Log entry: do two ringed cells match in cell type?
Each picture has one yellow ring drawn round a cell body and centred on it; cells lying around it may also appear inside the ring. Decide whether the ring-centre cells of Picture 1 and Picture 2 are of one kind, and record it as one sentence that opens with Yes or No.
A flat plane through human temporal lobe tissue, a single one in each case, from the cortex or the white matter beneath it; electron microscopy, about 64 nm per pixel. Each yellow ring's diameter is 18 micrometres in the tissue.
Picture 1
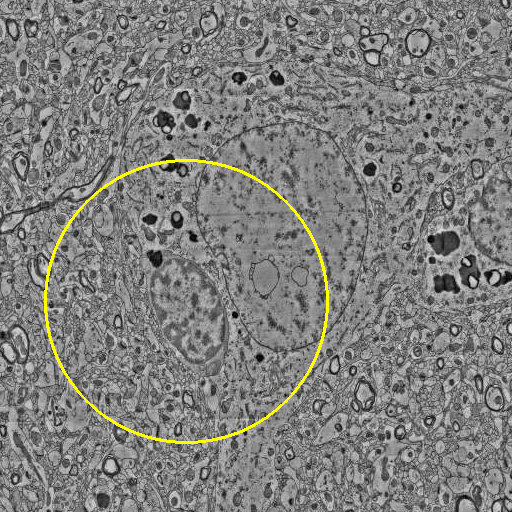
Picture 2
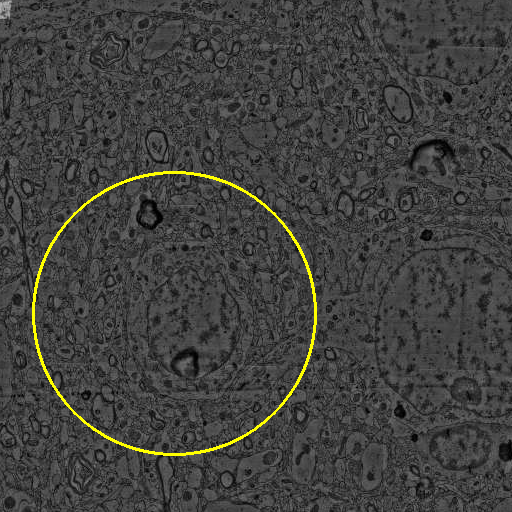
No, the cells at the ring centres of the two pictures belong to two kinds.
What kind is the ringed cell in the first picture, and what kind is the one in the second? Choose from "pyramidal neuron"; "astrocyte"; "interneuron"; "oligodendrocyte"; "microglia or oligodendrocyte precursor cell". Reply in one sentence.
The first cell is an oligodendrocyte; the second is a pyramidal neuron.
